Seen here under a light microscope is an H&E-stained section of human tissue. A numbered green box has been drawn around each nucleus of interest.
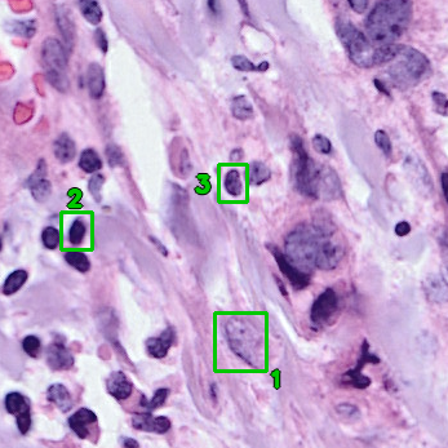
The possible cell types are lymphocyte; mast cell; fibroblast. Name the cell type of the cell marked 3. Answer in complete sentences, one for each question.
The cell bearing label 3 corresponds to a lymphocyte.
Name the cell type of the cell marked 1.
In this section, the cell numbered 1 is a fibroblast.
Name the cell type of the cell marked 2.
The cell pointed out by number 2 is a lymphocyte.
